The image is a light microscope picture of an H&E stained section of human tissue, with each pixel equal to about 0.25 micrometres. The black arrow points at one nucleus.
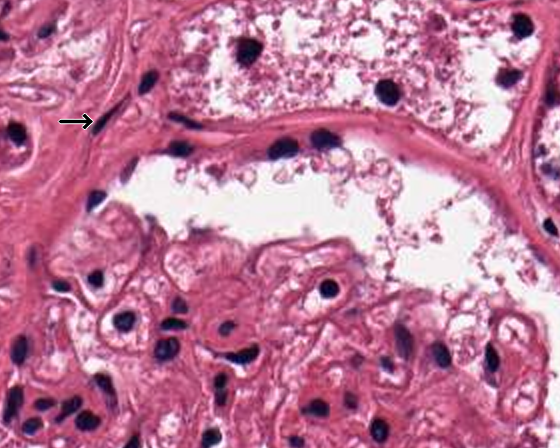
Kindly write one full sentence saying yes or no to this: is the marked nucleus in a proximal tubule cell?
No, the marked nucleus is part of a supporting cell and does not belong to a proximal tubule cell.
